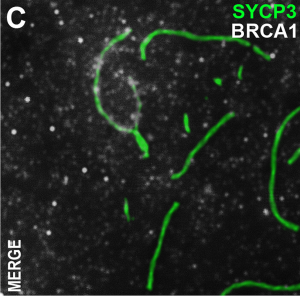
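This is part of a spread spermatocyte nucleus with green synaptonemal complex axes, including several autosomal axes and the sex bivalent. The sex bivalent is made of a long, curved axis and a much shorter one, joined together only at one end. White dots run along the long curved axis and the unpaired part of the short one. The surrounding autosomal axes are largely free of white dots. Faint white specks are scattered in the background.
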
